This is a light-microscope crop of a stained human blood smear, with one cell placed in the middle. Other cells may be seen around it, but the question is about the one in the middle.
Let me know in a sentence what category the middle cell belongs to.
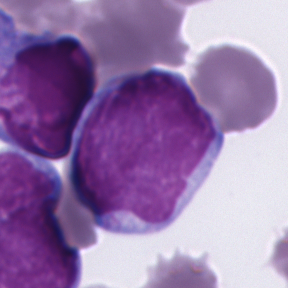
This particular crop is centered on a myeloblast.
